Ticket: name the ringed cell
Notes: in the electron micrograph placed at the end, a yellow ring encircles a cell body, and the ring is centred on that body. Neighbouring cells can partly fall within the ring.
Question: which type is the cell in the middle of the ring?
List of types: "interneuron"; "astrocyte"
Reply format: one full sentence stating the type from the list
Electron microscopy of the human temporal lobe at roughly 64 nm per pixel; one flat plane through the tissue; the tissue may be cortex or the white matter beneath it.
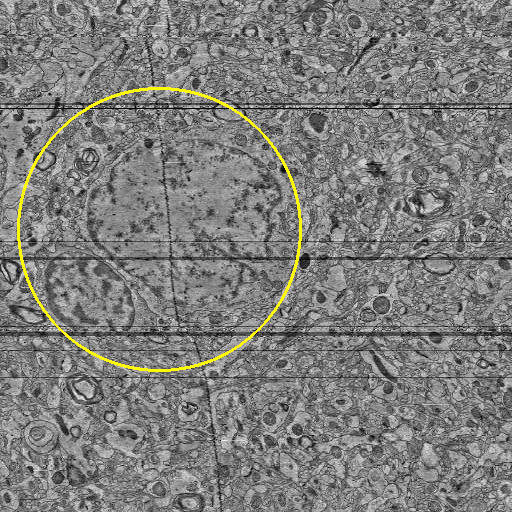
The cell sitting at the centre of the yellow ring is an interneuron.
